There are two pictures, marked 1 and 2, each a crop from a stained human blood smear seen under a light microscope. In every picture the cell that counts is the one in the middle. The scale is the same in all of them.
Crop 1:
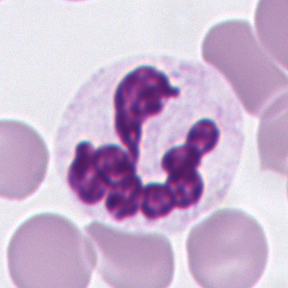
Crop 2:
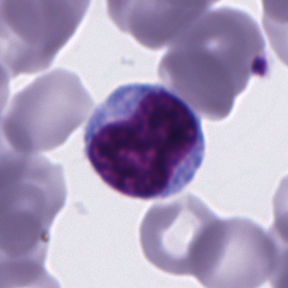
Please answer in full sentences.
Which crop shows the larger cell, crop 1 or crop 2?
Larger is the cell in crop 1, at roughly 2.5 times the area of the other.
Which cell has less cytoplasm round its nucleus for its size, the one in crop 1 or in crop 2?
Of the two, the nucleus in crop 2 makes up the greater part of its cell.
